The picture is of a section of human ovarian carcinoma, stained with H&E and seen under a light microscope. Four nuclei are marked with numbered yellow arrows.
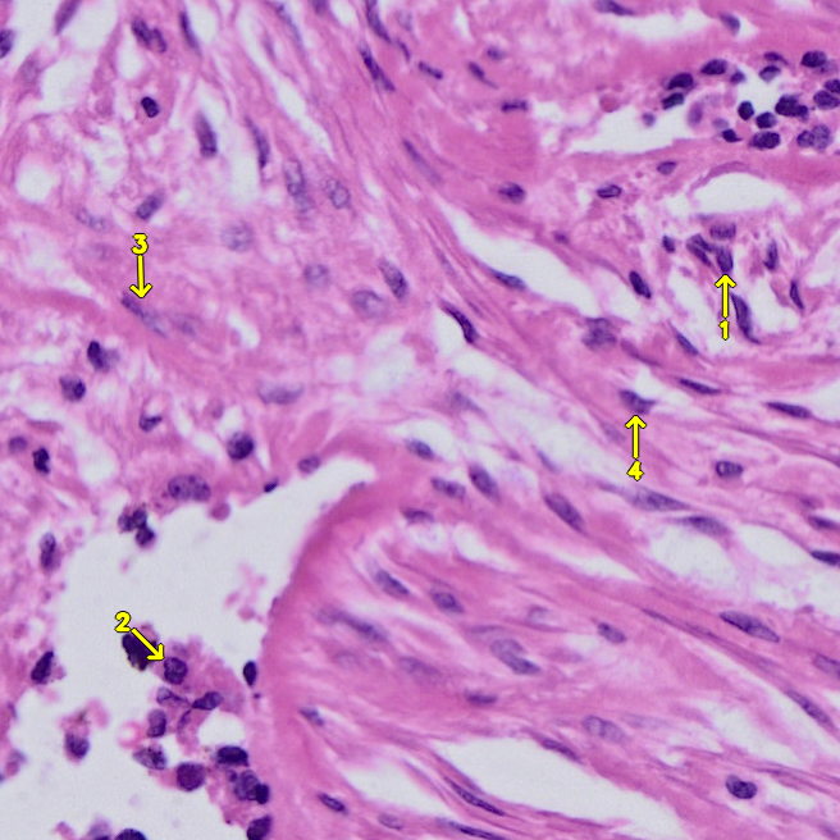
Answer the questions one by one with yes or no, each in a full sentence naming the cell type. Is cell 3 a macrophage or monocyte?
No, cell 3 should be classed as a fibroblast, not as a macrophage or monocyte.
